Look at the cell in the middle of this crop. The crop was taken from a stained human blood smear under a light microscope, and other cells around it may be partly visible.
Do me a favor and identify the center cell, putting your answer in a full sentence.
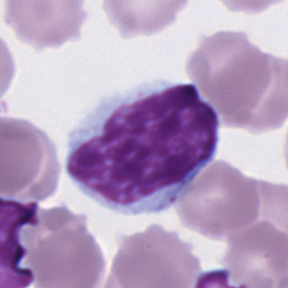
The centered cell in this crop is a typical lymphocyte.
